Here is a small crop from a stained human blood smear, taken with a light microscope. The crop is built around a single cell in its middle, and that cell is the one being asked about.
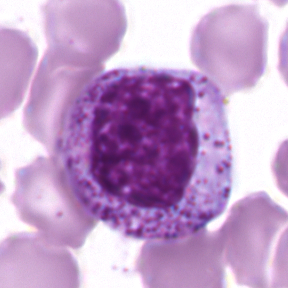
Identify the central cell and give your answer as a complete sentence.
In the middle of this smear crop is a myelocyte.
